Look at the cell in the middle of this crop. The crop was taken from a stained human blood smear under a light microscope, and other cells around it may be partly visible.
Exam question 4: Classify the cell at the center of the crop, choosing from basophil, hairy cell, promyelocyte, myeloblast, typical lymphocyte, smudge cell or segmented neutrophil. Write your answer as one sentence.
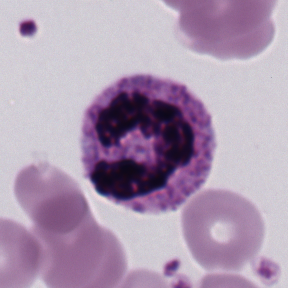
The crop's centre is taken up by a segmented neutrophil.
